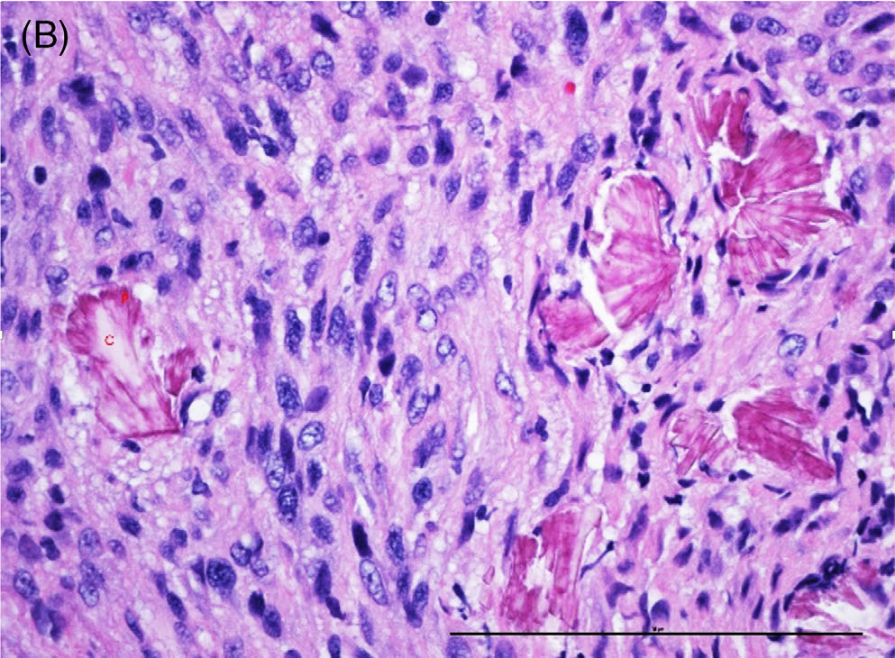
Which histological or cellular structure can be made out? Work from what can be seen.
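Pink crystalline deposits made of fine radiating petal-like striations. The striations fan out from a central area like a flower.
Hence: floret‐like arrangement.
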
